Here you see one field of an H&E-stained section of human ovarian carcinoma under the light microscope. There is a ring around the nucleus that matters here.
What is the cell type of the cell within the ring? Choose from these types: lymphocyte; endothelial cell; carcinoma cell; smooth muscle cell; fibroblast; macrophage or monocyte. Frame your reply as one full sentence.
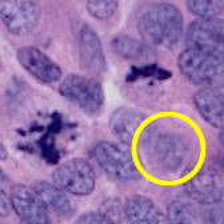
For the purposes of cell typing, the cell within the ring is categorized as a carcinoma cell.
